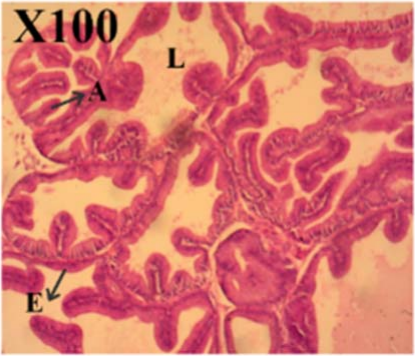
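This is prostate tissue with acini whose epithelial lining is strongly folded into many pink, finger-like projections reaching into the lumens. The lining is continuous, and the lumens hold pale pink secretion. Thin strands of stroma separate neighbouring acini.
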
